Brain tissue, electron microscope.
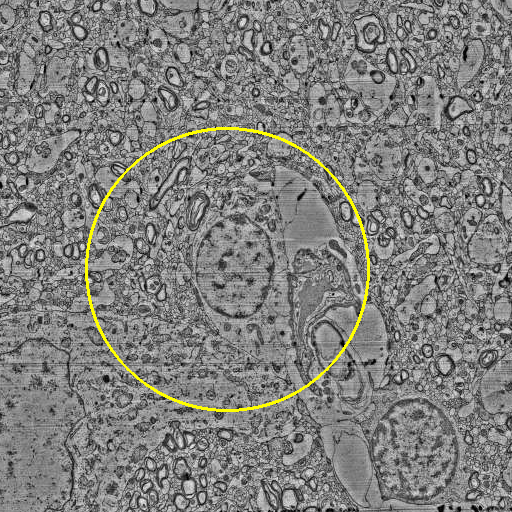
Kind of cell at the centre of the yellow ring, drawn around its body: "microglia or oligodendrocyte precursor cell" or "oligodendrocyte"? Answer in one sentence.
The ring's centre falls on a microglial cell or oligodendrocyte precursor cell.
